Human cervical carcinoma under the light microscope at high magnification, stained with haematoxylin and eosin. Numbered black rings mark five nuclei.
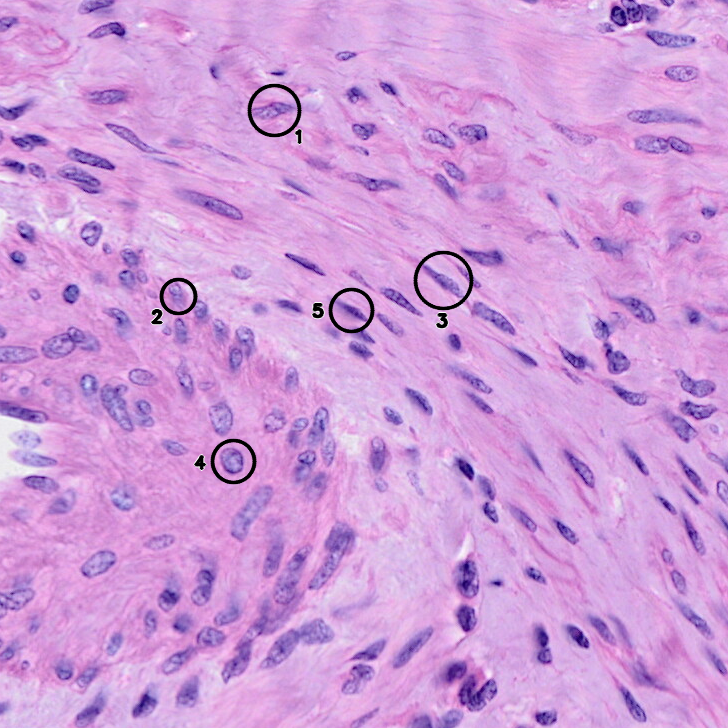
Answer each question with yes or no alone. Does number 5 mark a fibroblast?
yes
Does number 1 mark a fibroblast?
no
